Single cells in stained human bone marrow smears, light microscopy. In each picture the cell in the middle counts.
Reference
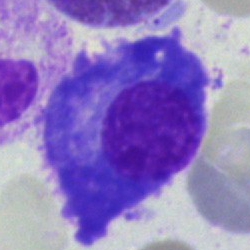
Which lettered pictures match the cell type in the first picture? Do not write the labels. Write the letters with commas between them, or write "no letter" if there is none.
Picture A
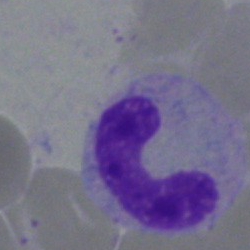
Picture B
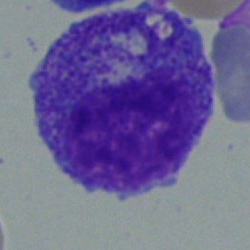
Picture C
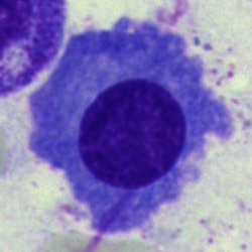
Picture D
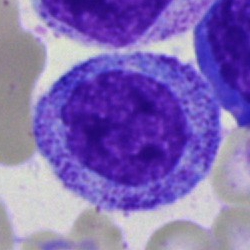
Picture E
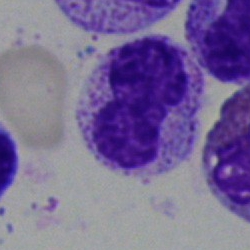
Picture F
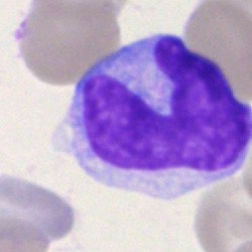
C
